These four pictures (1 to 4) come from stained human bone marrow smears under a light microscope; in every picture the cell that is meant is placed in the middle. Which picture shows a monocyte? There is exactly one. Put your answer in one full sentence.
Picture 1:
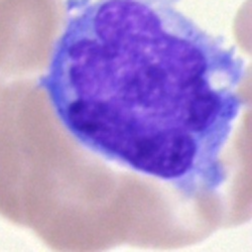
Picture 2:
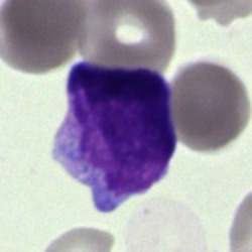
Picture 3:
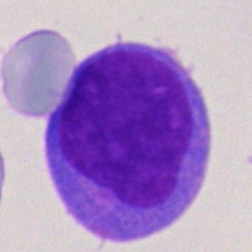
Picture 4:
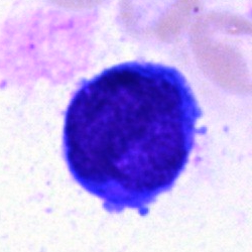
Picture 1 is the one that shows the monocyte.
